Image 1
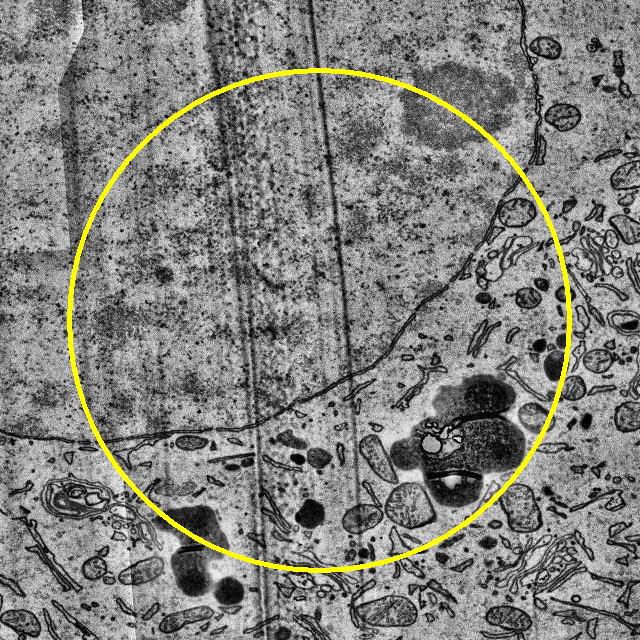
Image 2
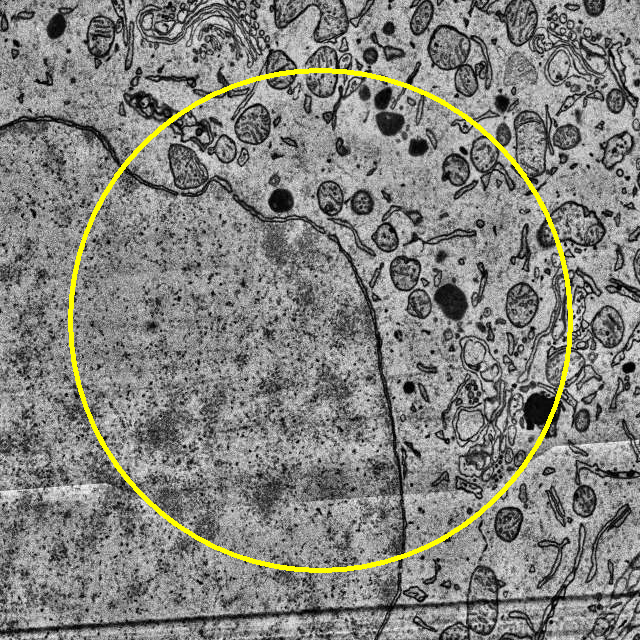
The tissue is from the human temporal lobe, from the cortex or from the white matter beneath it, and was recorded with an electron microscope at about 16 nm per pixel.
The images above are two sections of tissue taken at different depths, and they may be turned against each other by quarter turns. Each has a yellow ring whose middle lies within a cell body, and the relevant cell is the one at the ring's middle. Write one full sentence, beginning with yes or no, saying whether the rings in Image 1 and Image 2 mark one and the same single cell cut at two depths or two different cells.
Yes, the same cell appears within both yellow rings.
